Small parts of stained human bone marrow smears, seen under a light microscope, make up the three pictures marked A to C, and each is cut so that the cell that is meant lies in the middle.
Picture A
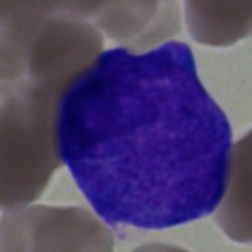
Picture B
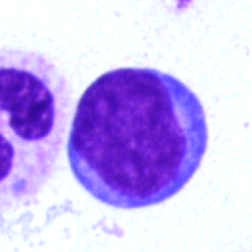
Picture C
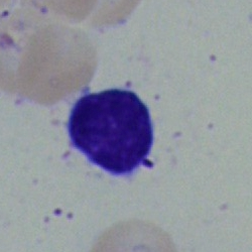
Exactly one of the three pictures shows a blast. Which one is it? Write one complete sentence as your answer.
The blast is the one in picture A.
